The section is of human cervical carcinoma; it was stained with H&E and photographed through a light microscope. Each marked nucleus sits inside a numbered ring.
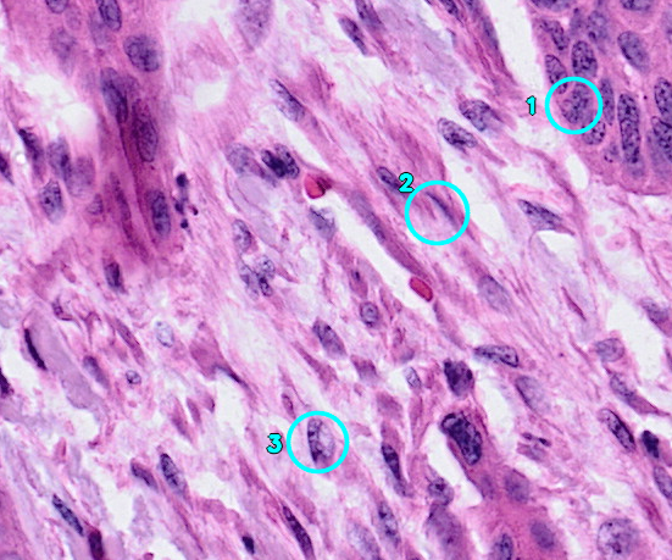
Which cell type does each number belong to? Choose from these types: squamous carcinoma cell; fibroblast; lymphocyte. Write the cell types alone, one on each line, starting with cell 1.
squamous carcinoma cell
fibroblast
fibroblast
